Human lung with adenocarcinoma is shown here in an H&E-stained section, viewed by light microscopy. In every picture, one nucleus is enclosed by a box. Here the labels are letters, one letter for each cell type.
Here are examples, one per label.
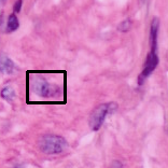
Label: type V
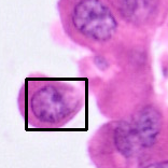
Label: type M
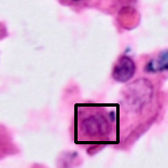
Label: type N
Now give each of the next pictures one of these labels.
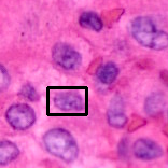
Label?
type N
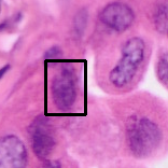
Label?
type M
